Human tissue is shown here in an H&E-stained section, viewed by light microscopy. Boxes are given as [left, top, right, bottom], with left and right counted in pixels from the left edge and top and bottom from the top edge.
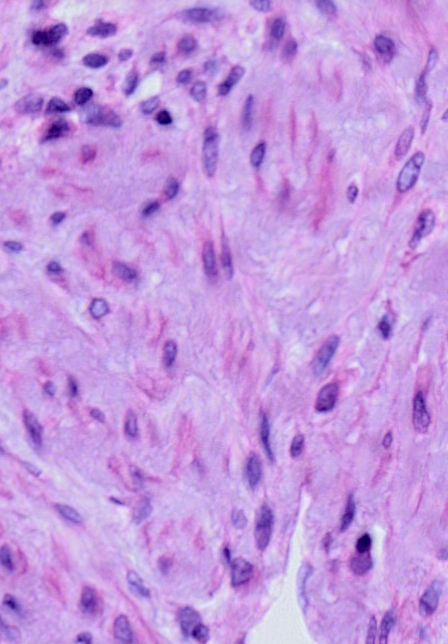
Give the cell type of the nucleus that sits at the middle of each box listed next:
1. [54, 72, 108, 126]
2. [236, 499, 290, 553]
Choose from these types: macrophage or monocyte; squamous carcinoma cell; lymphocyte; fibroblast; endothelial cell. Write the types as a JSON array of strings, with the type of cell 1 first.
["lymphocyte", "fibroblast"]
